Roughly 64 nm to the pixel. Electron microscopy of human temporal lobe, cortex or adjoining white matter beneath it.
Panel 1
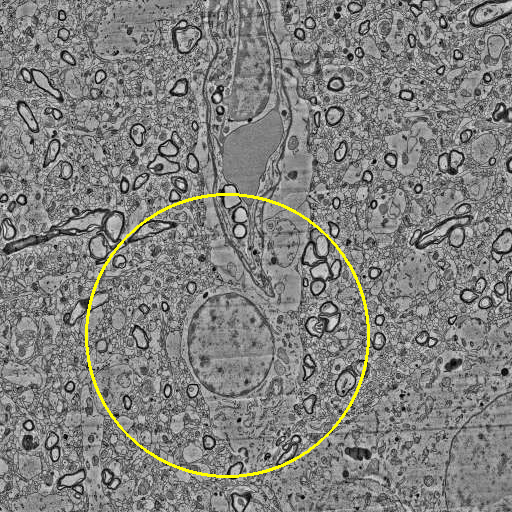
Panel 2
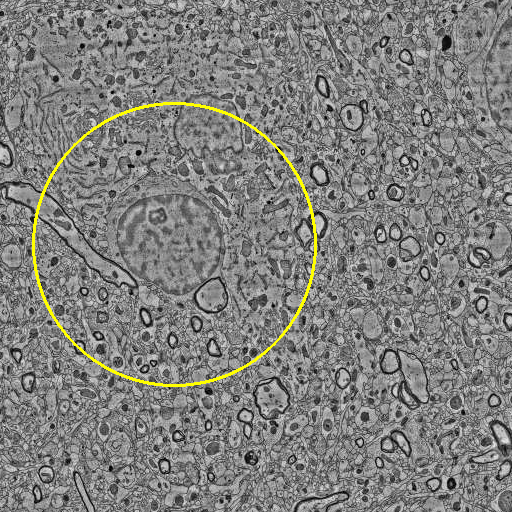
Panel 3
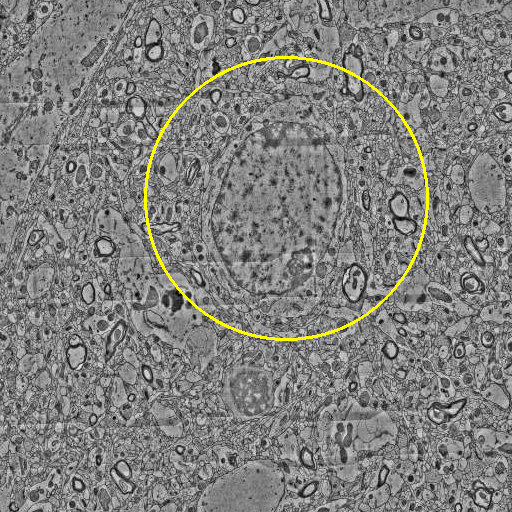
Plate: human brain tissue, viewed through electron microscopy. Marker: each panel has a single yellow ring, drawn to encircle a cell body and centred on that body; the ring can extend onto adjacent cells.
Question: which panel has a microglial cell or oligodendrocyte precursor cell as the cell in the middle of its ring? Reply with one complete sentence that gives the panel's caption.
Panel 1 is where the requested cell sits at the centre of the ring.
